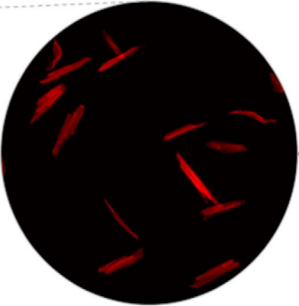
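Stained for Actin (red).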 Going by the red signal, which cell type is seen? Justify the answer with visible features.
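Isolated elongated, rod-shaped cells fill with red signal. Cells lie scattered and separate on a dark background. On this evidence: Cardiomyocytes.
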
